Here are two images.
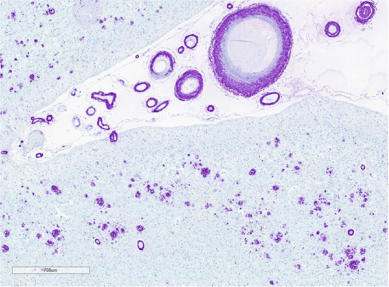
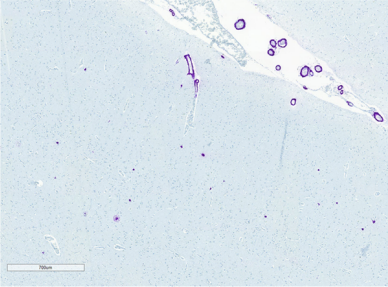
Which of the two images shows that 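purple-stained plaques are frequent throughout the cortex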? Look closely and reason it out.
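Second image: the cortex is almost uniformly pale blue with only a few tiny purple dots. First image: the cortex below the vessels is scattered with many purple deposits of varying size.
Hence: the first image.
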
